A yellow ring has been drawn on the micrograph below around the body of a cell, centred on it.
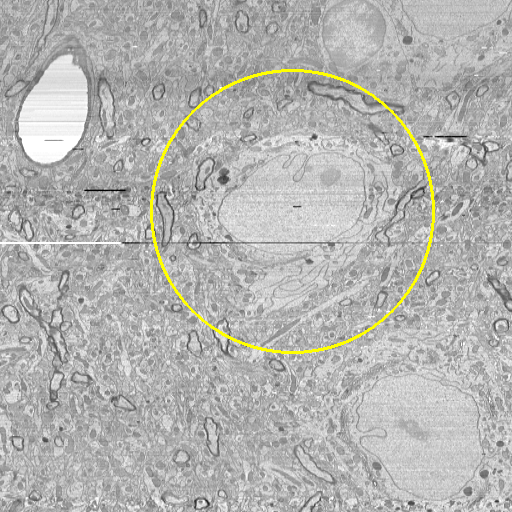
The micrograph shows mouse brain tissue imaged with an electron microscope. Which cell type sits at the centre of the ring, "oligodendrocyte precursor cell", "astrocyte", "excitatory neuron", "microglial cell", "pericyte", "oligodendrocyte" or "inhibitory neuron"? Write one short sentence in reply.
The cell sitting at the centre of the ring is an excitatory neuron.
